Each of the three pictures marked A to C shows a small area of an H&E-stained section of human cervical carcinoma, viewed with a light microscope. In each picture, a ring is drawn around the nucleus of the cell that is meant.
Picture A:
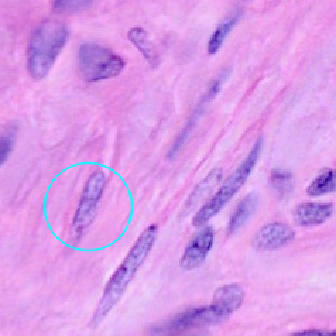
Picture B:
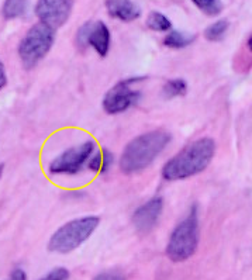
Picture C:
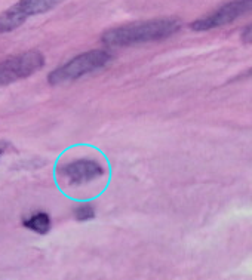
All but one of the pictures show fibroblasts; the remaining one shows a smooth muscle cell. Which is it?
A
